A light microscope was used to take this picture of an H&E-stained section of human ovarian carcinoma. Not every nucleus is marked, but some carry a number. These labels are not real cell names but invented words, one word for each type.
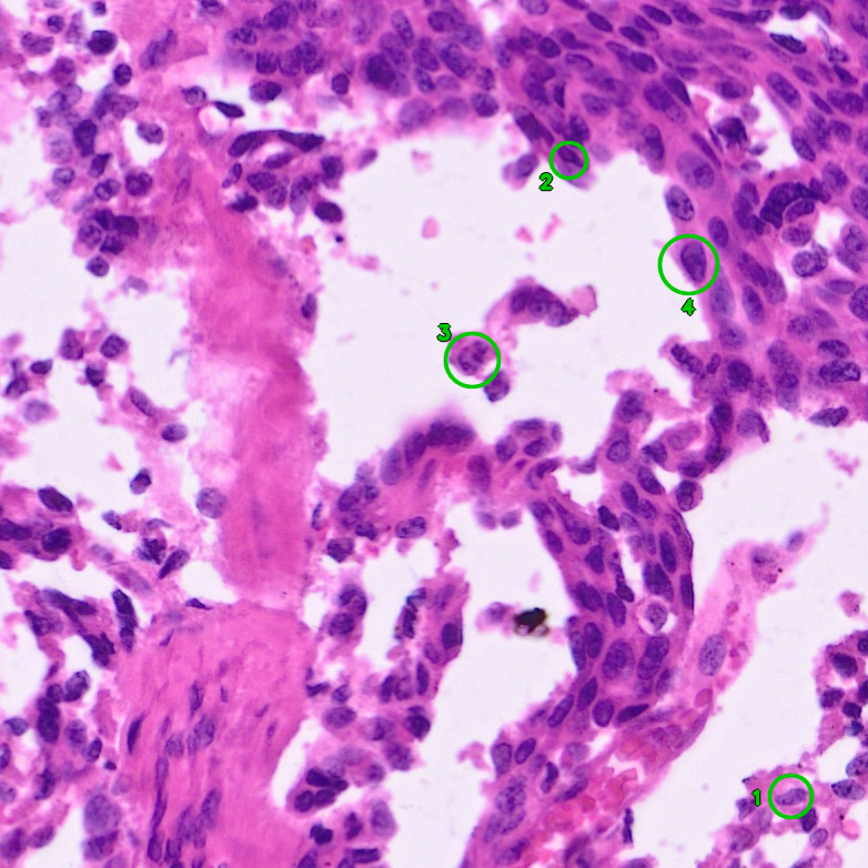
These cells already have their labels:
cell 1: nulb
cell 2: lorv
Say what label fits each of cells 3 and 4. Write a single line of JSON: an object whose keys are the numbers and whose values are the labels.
{"3": "nulb", "4": "lorv"}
